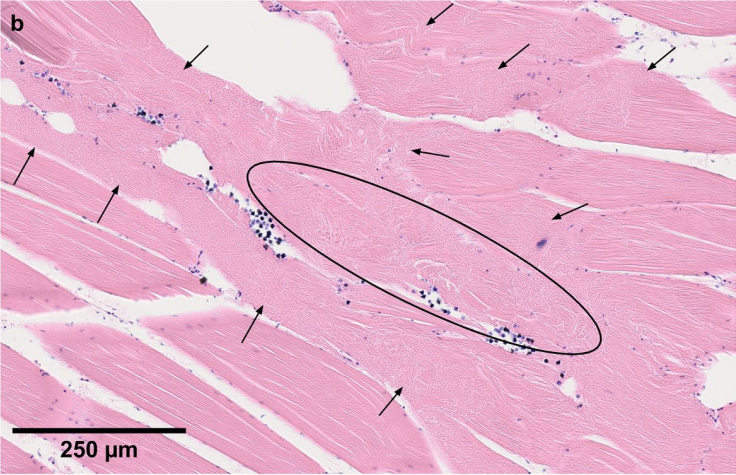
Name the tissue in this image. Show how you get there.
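Somatic musculature. The fibres show fine longitudinal striation typical of skeletal muscle.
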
